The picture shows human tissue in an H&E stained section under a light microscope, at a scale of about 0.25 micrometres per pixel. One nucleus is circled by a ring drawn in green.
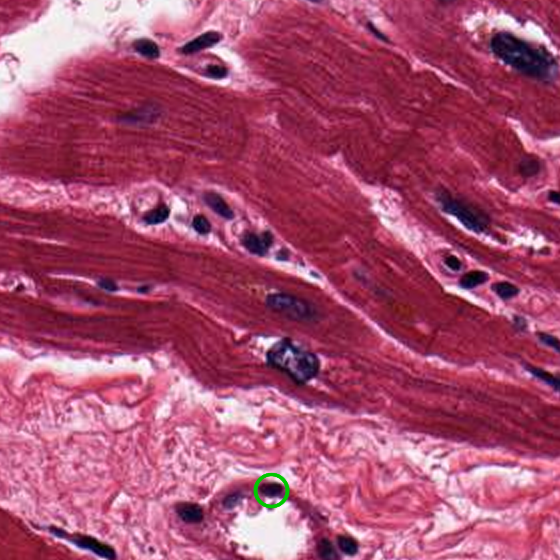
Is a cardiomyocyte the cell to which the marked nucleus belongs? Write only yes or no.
no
